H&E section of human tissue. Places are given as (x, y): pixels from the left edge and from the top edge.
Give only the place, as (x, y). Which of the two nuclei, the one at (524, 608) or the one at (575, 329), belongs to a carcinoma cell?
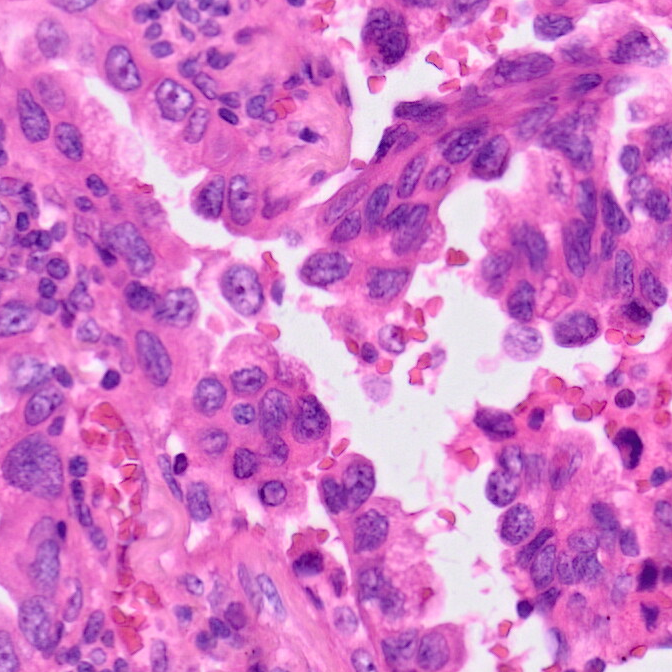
(575, 329)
